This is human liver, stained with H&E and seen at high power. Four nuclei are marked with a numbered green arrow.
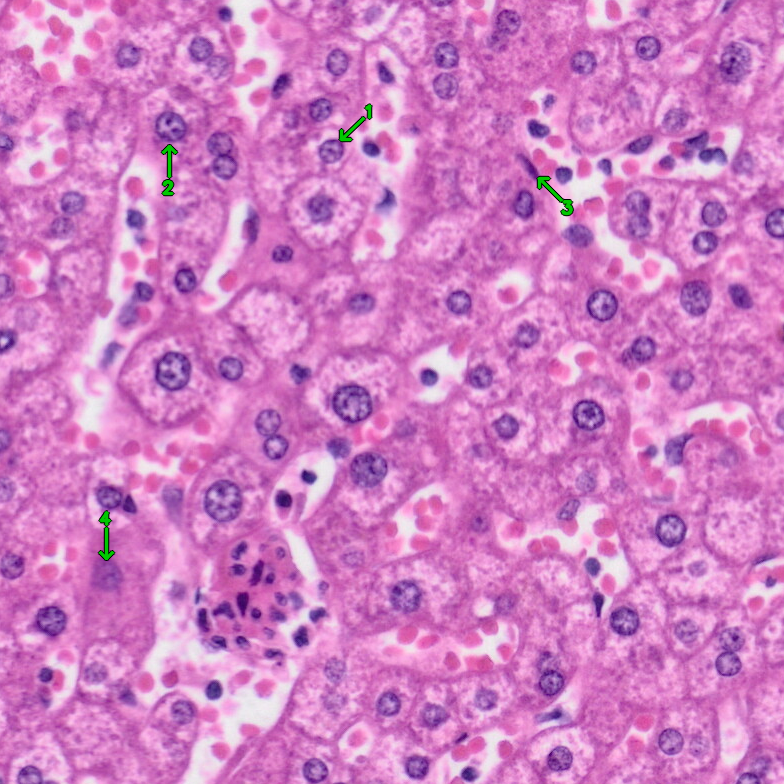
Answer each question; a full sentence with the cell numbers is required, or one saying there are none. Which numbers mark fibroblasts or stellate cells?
In contrast to the remaining marked cells, cell 3 is a fibroblast or stellate cell.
